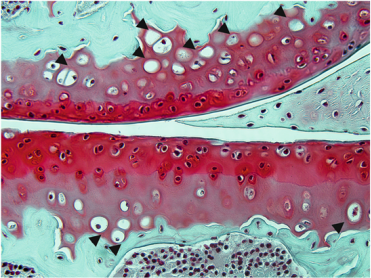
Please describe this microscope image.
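Two layers of articular cartilage face each other across a narrow joint space, their matrix stained red, with green-stained bone lying beyond each layer. Near the joint surface the chondrocytes are small and flattened, while in the deep calcified cartilage bordering the bone many are hypertrophic chondrocytes, enlarged and rounded within wide clear lacunae.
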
